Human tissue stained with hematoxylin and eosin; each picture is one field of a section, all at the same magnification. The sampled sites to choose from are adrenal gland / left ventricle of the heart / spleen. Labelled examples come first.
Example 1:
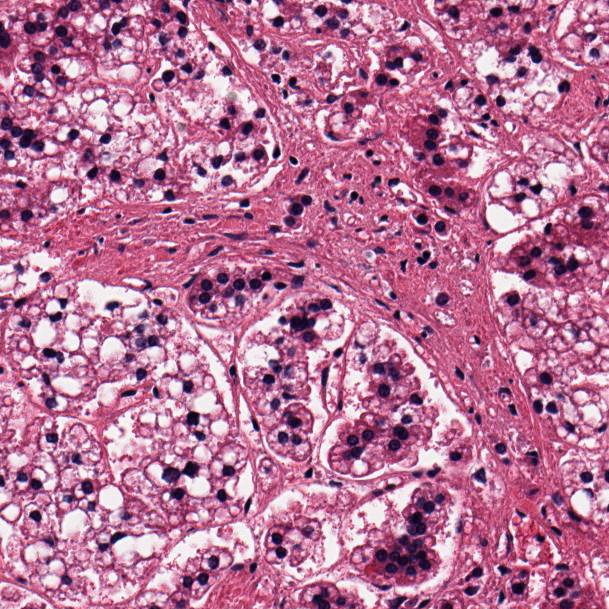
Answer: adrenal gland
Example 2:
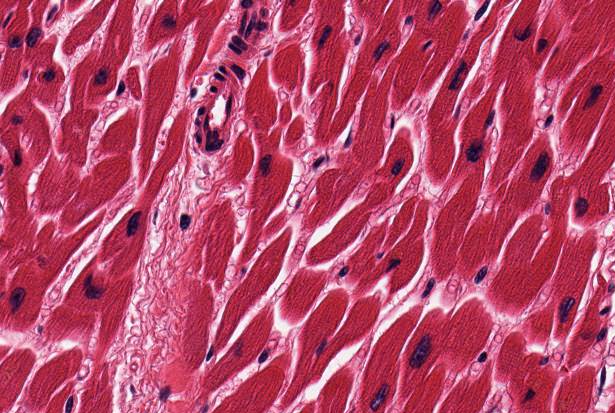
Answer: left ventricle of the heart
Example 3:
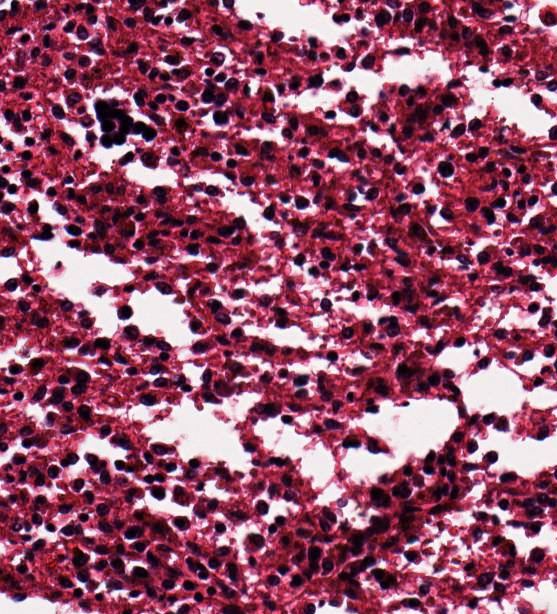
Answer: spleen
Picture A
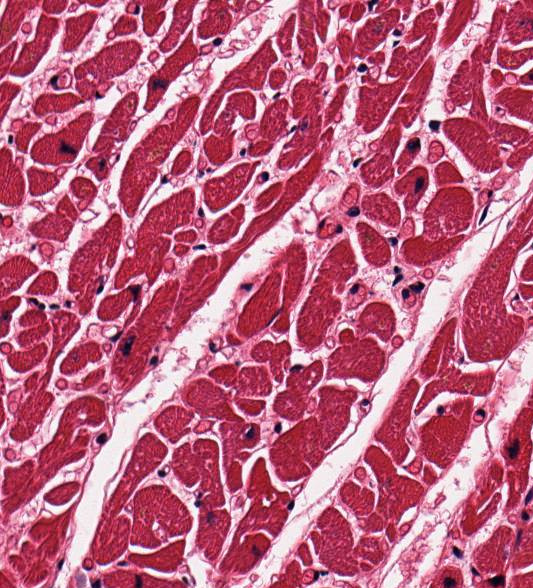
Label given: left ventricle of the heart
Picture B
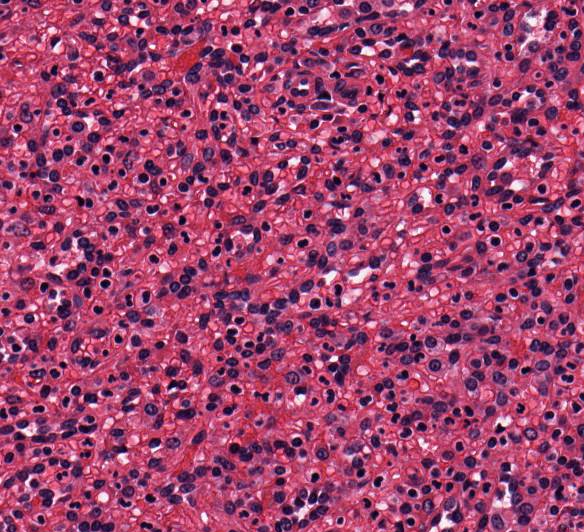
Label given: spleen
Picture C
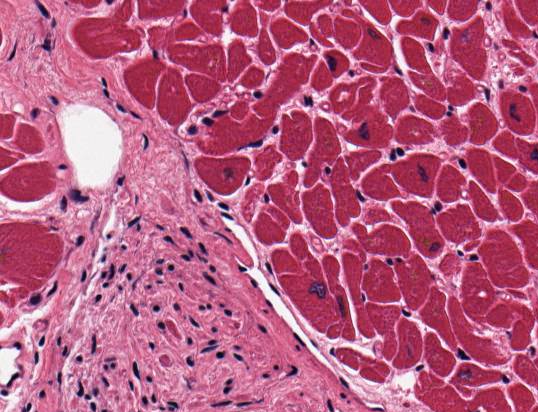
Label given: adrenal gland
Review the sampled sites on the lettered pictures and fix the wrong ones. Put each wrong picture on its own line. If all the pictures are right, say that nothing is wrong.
Wrong: C (adrenal gland); correct: left ventricle of the heart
